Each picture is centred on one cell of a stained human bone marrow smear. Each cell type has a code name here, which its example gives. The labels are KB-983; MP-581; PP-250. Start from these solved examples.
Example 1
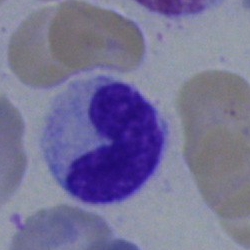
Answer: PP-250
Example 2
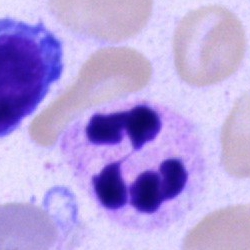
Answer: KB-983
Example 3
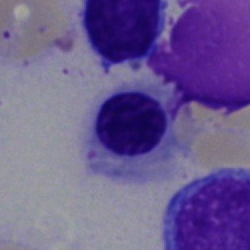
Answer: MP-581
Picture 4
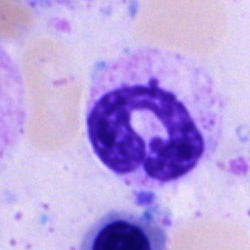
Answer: PP-250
